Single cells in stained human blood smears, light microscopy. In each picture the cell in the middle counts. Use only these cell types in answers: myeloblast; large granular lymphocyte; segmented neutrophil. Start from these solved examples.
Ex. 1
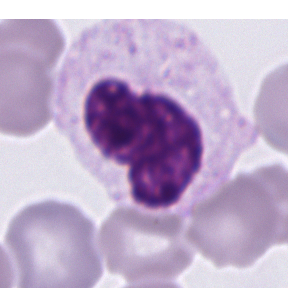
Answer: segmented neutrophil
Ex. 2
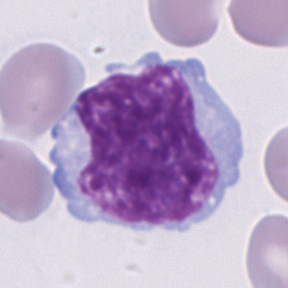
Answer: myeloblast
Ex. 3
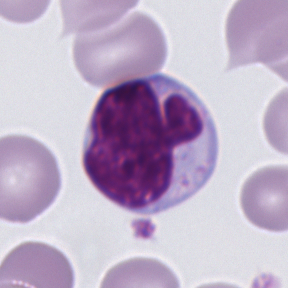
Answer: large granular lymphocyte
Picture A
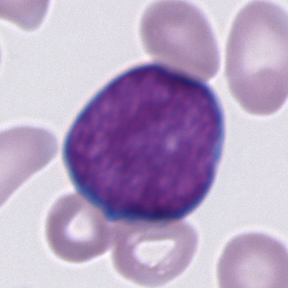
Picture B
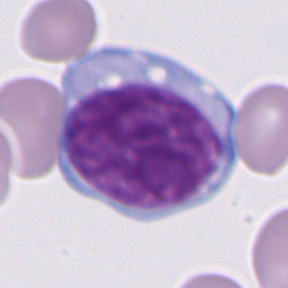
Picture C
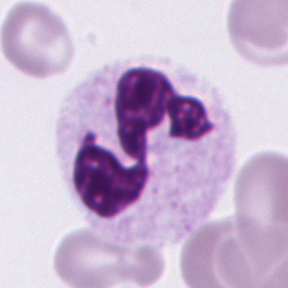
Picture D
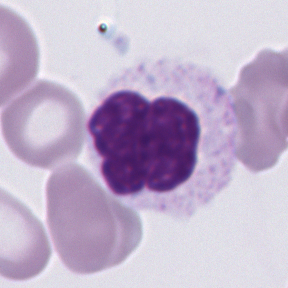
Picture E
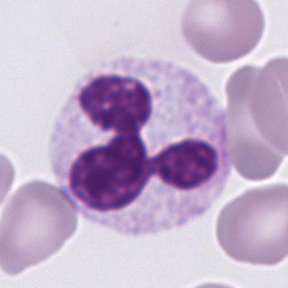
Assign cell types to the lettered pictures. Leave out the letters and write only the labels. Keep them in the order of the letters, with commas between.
myeloblast, myeloblast, segmented neutrophil, segmented neutrophil, segmented neutrophil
